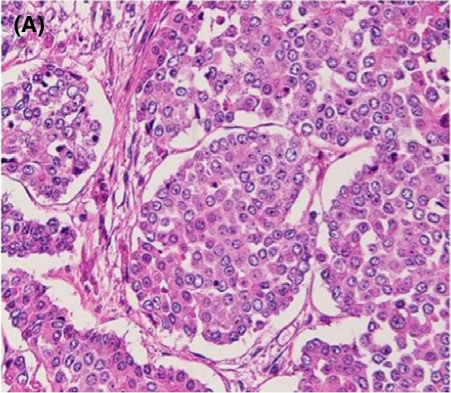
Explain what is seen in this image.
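This is a tumor arranged in an organoid pattern, with cells gathered into rounded nests and cords. The nests are outlined by thin strands of pink fibrous stroma containing elongated spindle-shaped nuclei, and narrow clear clefts separate the cell groups from the stroma. The tumor cells are fairly uniform, with moderate amounts of pink cytoplasm and round to oval, centrally placed nuclei. Many nuclei show a small visible nucleolus, and the cells are densely packed with little variation in size.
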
